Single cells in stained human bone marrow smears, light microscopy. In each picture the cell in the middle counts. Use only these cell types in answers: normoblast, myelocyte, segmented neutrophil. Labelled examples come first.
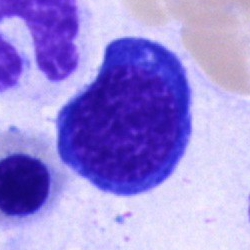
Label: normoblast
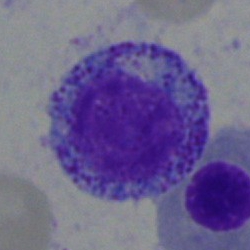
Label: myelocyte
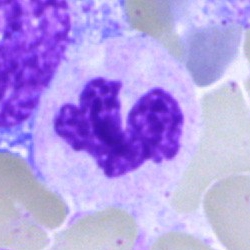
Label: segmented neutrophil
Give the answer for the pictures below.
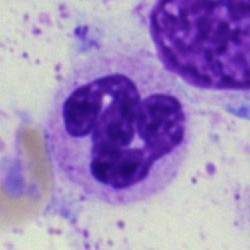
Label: segmented neutrophil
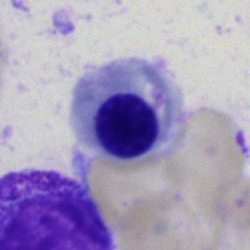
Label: normoblast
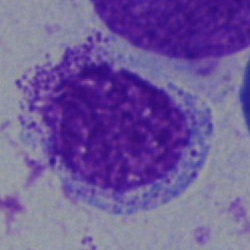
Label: myelocyte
